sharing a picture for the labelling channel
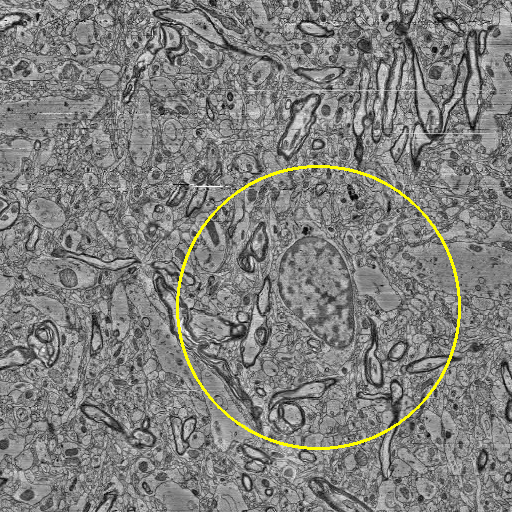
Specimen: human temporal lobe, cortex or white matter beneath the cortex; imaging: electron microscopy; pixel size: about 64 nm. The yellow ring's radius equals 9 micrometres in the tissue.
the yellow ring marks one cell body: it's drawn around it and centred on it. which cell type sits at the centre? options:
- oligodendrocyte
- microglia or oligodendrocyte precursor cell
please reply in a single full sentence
In the picture, the cell at the ring's centre is a microglial cell or oligodendrocyte precursor cell, going by the list.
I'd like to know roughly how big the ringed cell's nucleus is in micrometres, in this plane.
Roughly 7 micrometres by 5 micrometres, in this plane.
